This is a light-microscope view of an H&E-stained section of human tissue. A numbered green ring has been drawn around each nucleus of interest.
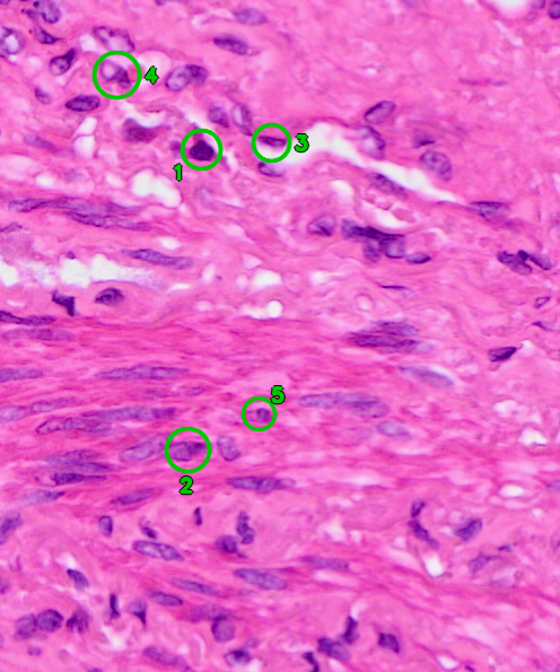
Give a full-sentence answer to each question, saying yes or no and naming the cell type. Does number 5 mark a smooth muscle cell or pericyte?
Yes, cell 5 among the marked cells is a smooth muscle cell or pericyte.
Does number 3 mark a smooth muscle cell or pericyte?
No, the cell identified by number 3 is an endothelial cell, not a smooth muscle cell or pericyte.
